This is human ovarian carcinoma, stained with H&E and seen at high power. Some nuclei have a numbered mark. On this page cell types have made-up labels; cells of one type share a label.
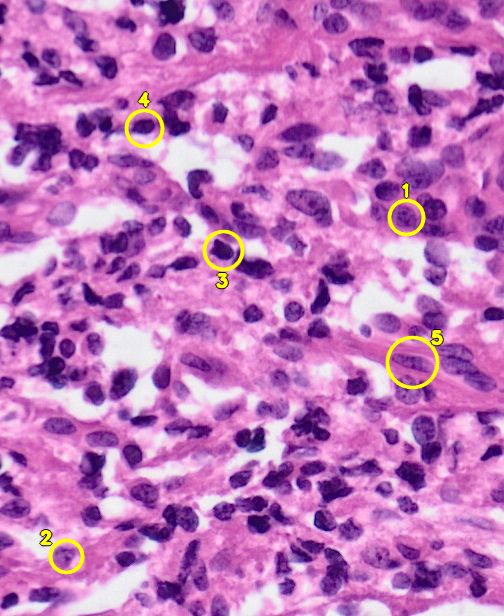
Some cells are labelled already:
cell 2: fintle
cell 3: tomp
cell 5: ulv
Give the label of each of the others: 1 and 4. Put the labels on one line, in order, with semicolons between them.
tomp; tomp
